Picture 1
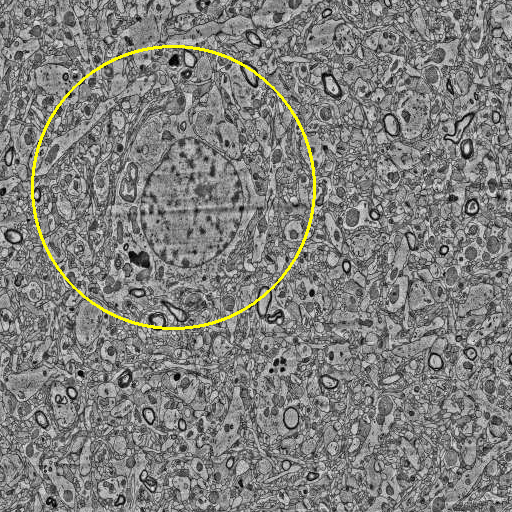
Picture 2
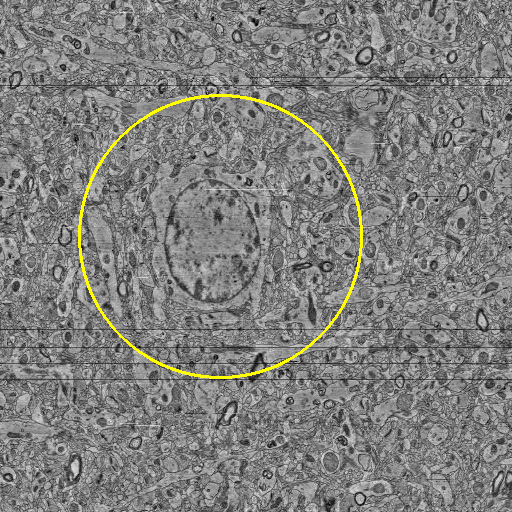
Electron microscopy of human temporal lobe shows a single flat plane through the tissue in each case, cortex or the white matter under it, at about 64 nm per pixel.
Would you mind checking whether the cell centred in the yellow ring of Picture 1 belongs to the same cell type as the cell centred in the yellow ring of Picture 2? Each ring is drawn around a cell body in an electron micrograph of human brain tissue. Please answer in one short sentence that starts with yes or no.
Yes, both cells are of the same type.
